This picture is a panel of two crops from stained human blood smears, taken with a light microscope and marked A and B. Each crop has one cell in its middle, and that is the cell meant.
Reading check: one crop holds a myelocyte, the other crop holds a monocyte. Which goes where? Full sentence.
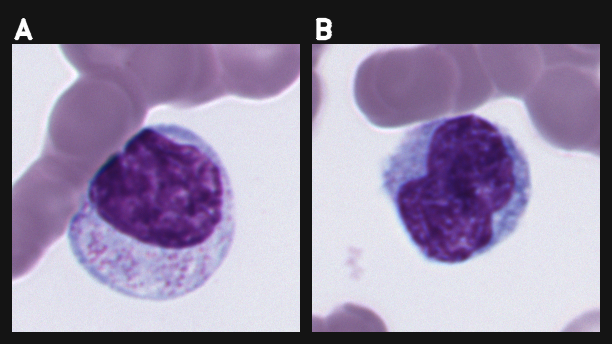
The crop labelled A is a myelocyte, and the crop labelled B is a monocyte.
